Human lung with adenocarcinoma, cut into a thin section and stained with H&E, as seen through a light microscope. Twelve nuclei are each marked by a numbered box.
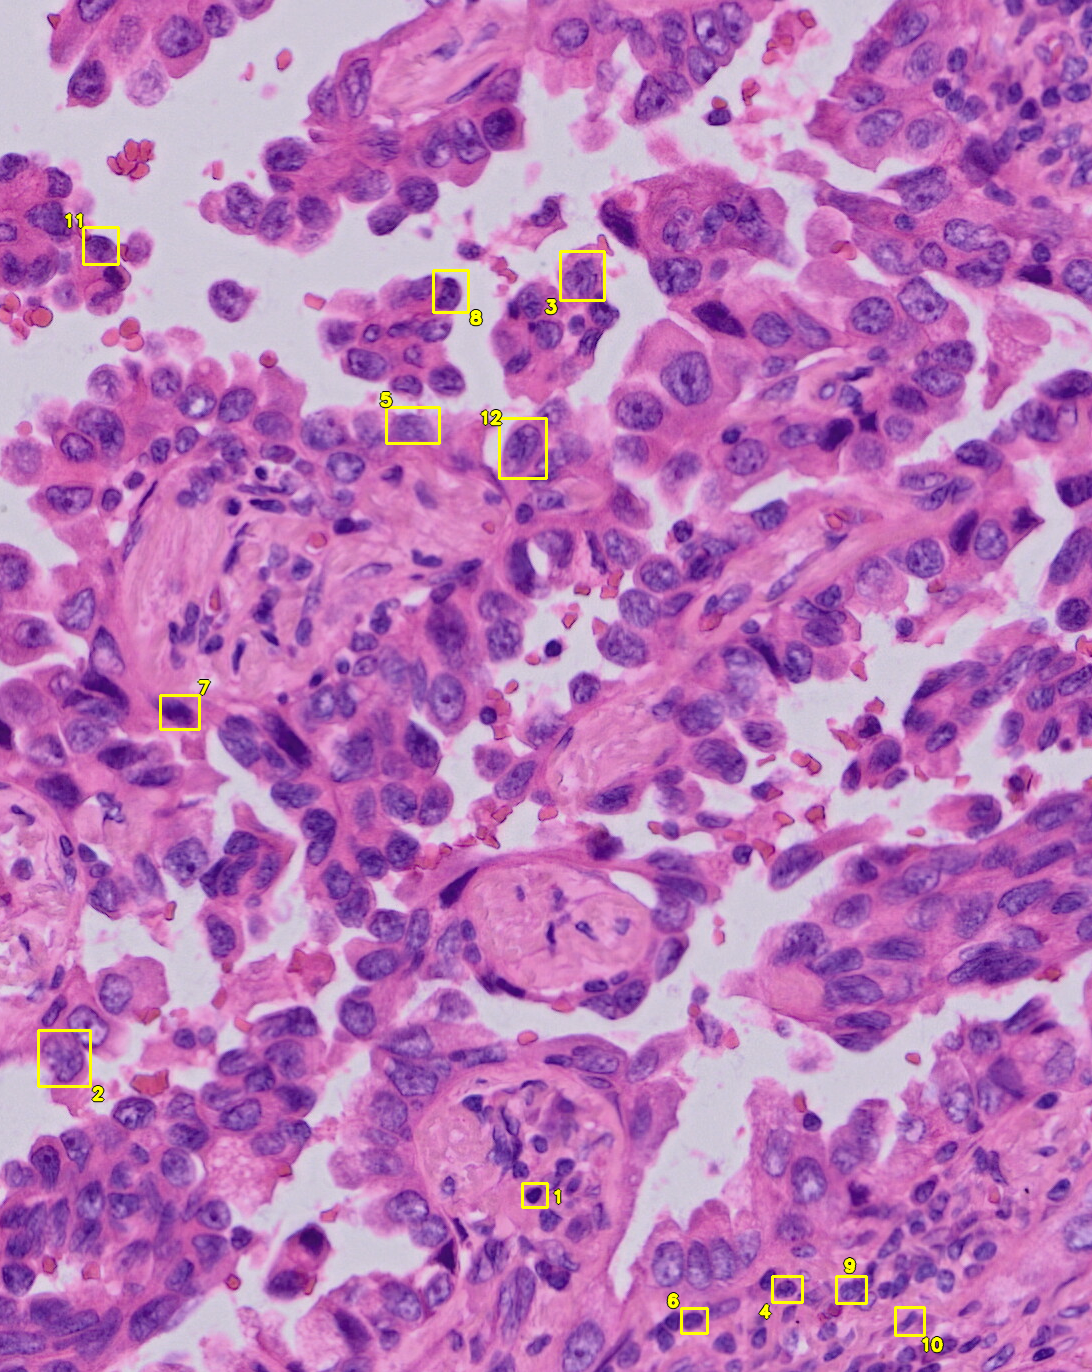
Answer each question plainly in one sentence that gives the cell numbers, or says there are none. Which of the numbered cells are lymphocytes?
The cells that have been numbered 1, 4, 6, 9 and 10 are lymphocytes.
